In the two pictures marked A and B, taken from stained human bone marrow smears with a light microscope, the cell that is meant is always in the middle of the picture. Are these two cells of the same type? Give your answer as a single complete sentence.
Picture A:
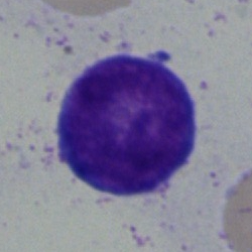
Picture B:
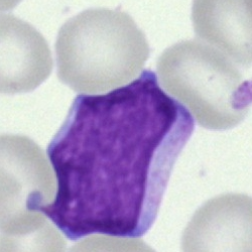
Yes; the cells in both pictures are blasts.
